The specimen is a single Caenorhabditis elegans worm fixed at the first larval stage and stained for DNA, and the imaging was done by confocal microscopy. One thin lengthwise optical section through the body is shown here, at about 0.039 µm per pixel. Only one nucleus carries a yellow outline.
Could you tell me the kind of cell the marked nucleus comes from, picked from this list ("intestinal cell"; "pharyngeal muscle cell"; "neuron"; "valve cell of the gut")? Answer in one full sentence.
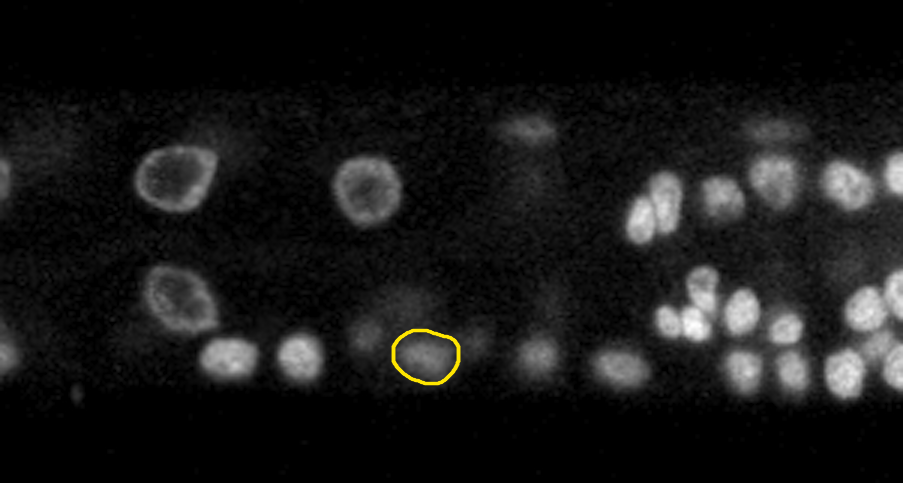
The cell with the marked nucleus is a neuron.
